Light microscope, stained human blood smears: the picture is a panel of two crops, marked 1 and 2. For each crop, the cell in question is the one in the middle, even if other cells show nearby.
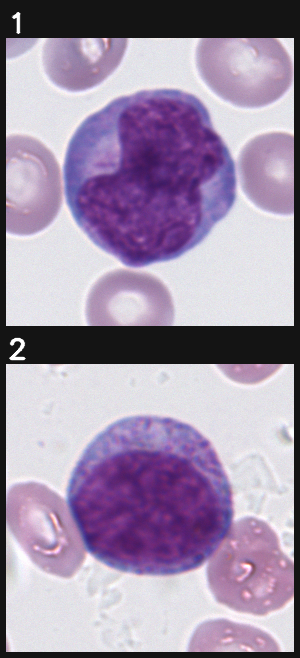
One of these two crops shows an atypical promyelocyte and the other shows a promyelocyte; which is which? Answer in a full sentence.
In crop 1 there is an atypical promyelocyte, and in crop 2 there is a promyelocyte.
